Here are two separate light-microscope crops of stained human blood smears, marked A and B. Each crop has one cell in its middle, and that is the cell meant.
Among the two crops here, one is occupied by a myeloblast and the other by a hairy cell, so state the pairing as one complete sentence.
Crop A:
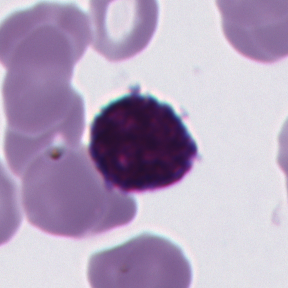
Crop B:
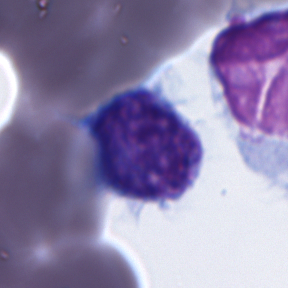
Crop A is to be labelled a myeloblast, and crop B a hairy cell.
